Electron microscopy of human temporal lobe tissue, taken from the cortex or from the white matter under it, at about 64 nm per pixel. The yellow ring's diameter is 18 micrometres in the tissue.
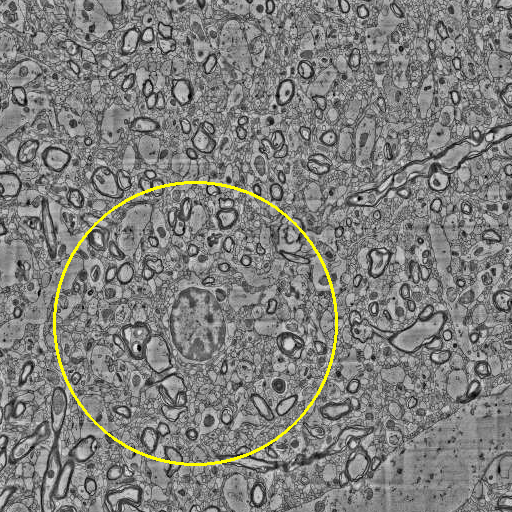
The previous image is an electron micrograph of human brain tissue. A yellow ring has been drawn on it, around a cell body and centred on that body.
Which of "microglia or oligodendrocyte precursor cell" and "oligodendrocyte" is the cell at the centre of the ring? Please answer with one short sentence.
The cell body at the centre of the ring belongs to a microglial cell or oligodendrocyte precursor cell.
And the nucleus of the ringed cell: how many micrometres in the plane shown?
In this plane the nucleus spans approximately 5 by 4 micrometers.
